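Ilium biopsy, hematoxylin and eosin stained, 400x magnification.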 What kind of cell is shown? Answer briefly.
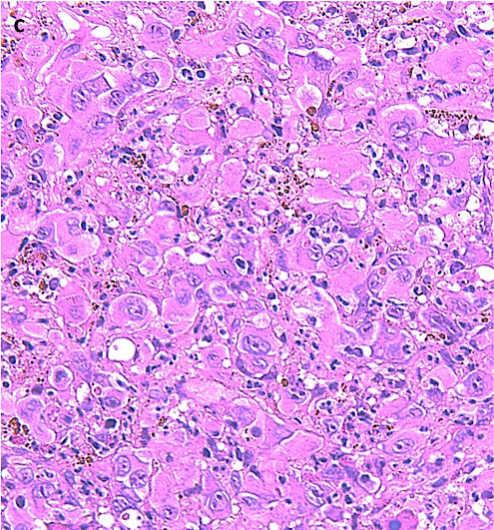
tumor cells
